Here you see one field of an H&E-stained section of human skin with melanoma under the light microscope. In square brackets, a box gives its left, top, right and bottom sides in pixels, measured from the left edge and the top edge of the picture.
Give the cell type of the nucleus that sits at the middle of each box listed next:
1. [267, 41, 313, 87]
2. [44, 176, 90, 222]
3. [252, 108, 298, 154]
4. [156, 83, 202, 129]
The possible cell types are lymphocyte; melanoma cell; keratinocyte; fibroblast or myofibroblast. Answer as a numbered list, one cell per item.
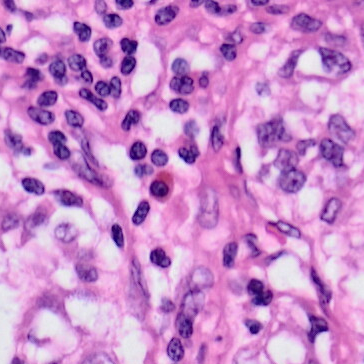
1. melanoma cell
2. melanoma cell
3. melanoma cell
4. lymphocyte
